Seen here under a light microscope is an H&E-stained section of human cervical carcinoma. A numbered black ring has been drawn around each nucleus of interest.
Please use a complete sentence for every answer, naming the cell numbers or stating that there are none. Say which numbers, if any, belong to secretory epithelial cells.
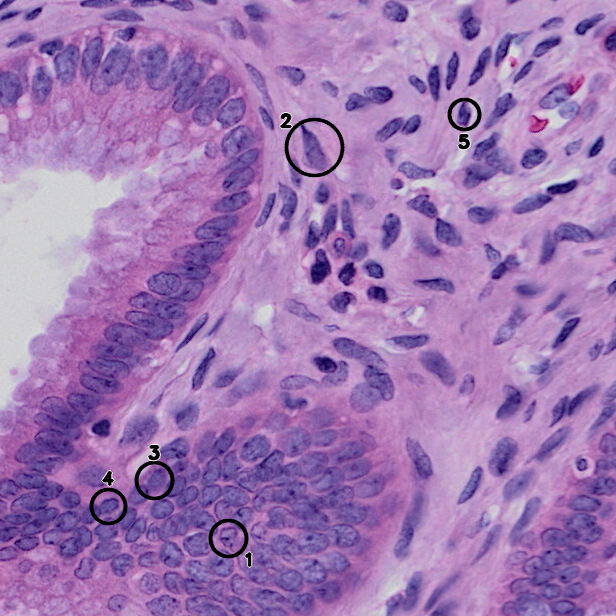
Each of the cells numbered 1, 3 and 4 is among the secretory epithelial cells.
